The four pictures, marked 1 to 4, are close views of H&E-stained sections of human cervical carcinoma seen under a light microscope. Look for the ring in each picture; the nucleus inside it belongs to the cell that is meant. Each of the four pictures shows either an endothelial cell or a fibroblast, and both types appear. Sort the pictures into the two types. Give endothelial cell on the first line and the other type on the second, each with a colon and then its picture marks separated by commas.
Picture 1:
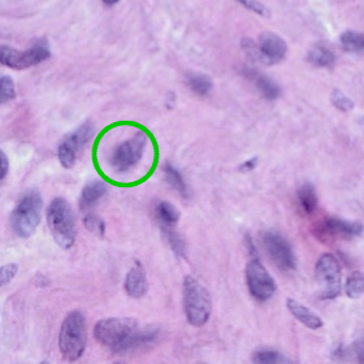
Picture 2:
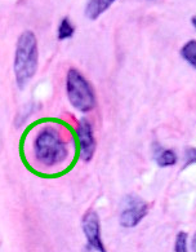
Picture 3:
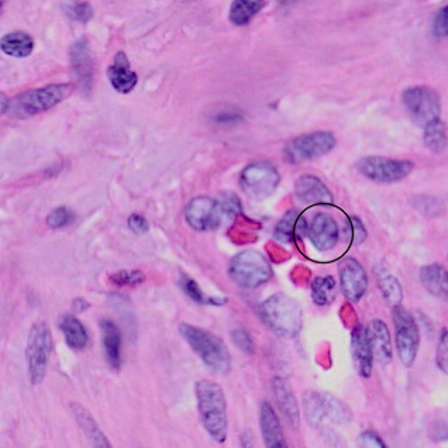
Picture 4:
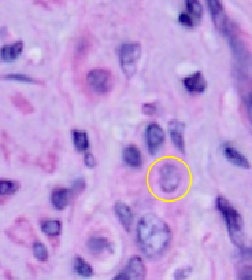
endothelial cell: 2, 3, 4
fibroblast: 1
